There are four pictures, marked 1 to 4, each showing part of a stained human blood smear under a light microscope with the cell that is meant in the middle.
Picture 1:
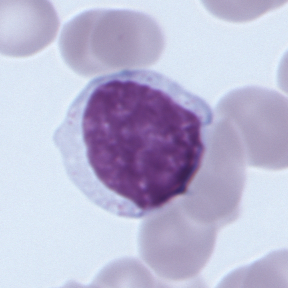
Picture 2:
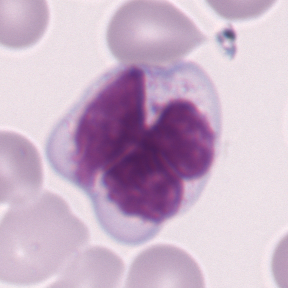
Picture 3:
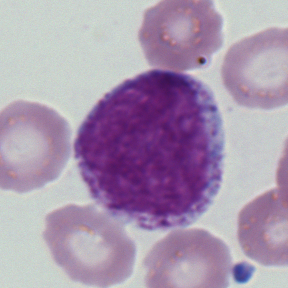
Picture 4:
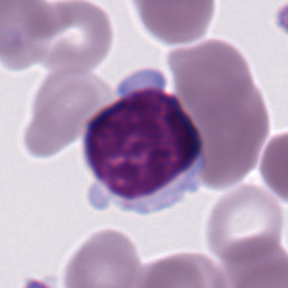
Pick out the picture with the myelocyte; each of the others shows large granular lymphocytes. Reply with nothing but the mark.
3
